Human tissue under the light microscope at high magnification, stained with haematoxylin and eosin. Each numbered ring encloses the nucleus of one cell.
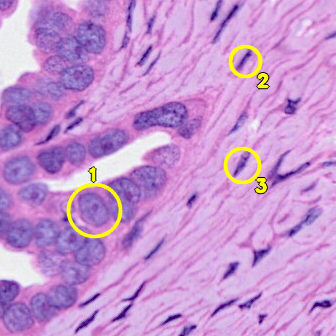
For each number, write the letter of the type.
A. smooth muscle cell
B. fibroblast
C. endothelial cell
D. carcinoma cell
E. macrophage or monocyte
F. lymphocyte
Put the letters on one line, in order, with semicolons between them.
D; B; B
